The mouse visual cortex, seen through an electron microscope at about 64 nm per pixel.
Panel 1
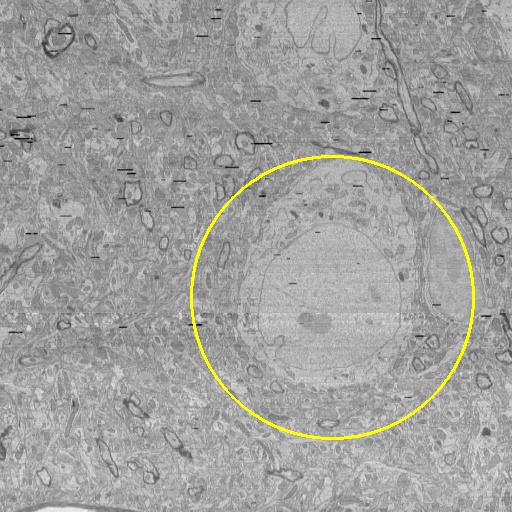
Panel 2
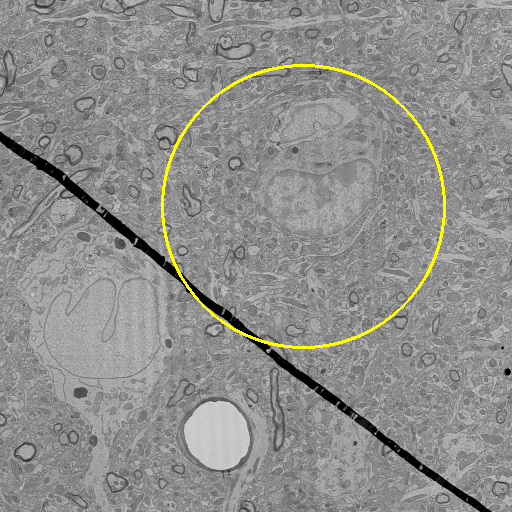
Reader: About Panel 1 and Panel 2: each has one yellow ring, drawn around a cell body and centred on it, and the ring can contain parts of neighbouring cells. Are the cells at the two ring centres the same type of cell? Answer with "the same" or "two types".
two types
